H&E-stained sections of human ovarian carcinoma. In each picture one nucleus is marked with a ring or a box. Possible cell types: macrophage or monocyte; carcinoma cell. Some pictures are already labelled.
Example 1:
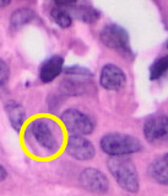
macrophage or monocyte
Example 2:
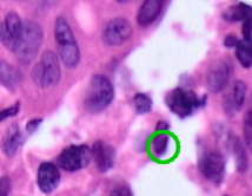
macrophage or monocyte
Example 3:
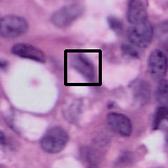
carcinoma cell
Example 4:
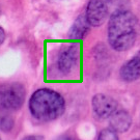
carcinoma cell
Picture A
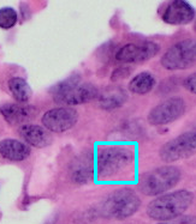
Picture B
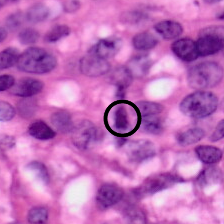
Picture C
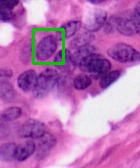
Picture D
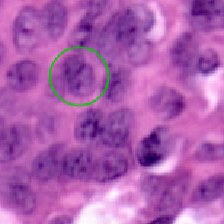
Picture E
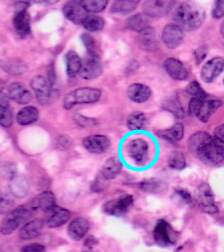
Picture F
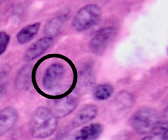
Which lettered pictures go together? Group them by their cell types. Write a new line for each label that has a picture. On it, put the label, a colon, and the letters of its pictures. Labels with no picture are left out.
macrophage or monocyte: E, F
carcinoma cell: A, B, C, D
